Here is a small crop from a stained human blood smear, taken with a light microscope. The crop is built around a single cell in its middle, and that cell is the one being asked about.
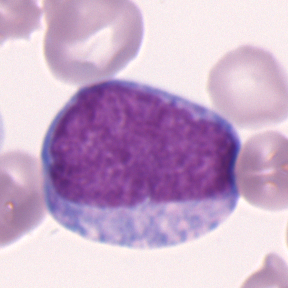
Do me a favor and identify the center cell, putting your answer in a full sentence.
The cell in the exact centre of the crop is a promyelocyte.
